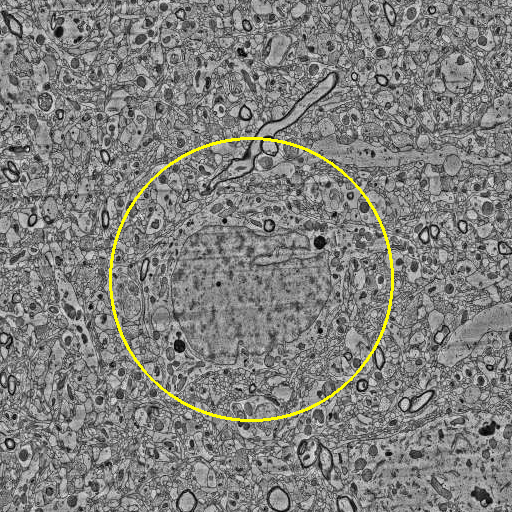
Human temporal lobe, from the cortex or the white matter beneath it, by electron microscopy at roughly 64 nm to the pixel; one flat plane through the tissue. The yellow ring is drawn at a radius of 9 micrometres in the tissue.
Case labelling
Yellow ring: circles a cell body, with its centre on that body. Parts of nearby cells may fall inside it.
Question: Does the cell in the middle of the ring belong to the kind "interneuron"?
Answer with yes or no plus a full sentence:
Yes, in this picture the cell in the middle of the yellow ring belongs to that kind.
